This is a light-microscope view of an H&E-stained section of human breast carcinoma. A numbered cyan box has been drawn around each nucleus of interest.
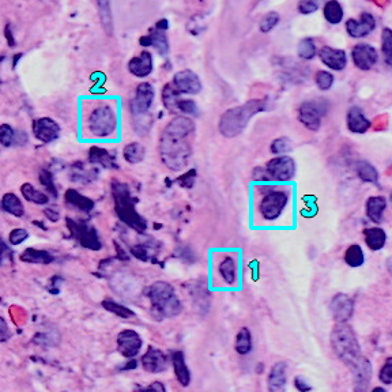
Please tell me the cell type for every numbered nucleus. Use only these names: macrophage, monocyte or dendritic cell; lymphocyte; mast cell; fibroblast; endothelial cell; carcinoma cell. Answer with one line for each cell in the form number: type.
1: lymphocyte
2: mast cell
3: lymphocyte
